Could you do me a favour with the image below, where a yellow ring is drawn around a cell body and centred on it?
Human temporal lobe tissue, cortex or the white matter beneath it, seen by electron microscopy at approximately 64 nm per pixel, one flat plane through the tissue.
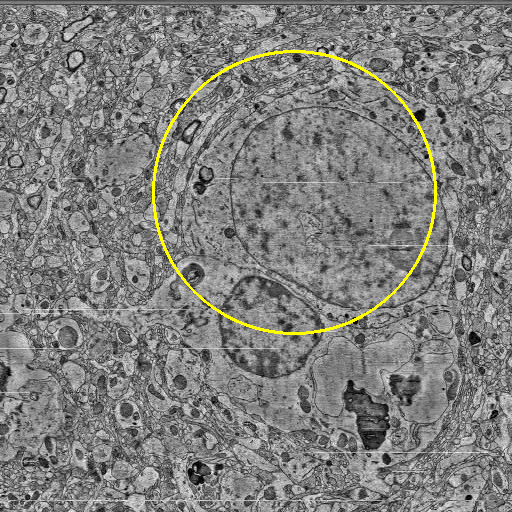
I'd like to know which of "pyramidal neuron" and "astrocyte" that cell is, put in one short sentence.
The cell at the ring's centre is a pyramidal neuron.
